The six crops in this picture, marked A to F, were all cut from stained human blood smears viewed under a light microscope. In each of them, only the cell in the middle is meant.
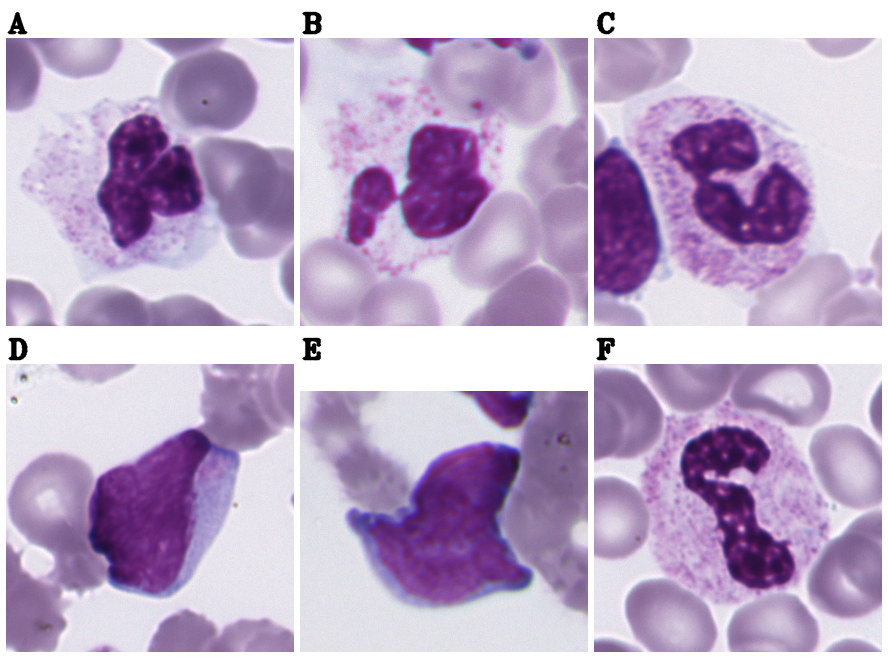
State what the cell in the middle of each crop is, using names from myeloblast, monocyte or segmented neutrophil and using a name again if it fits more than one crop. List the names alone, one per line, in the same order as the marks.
segmented neutrophil
segmented neutrophil
segmented neutrophil
myeloblast
myeloblast
segmented neutrophil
